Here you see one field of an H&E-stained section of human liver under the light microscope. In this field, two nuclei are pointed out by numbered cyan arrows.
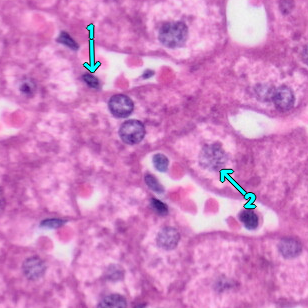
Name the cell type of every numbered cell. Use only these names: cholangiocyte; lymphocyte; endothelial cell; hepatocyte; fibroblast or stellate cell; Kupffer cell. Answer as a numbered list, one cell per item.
1. Kupffer cell
2. hepatocyte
